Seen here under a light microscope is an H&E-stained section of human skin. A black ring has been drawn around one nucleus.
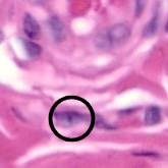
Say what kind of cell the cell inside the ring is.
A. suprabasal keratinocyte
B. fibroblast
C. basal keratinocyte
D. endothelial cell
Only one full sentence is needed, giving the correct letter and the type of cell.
Of all the options, D is right, since the cell inside the ring is an endothelial cell.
